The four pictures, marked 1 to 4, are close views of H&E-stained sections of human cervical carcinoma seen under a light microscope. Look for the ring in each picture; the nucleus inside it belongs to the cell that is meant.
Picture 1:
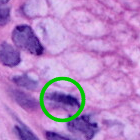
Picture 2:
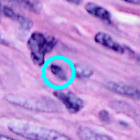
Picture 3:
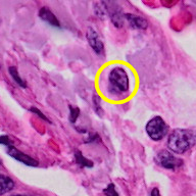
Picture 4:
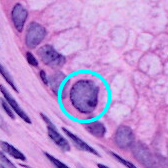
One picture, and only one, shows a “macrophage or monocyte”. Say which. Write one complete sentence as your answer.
It is picture 3 that shows the “macrophage or monocyte”.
